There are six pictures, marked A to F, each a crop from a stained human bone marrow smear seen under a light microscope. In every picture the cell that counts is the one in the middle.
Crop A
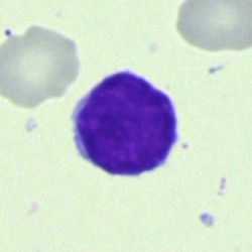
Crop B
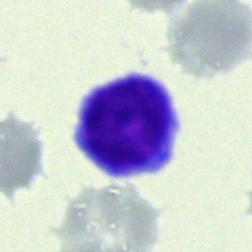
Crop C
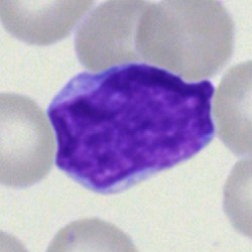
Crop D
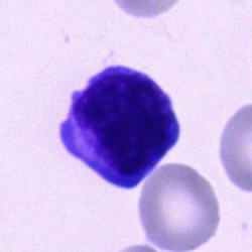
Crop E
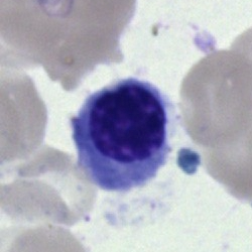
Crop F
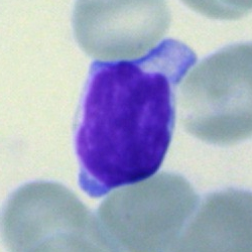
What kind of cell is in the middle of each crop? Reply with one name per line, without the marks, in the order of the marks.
lymphocyte
lymphocyte
blast
blast
erythroblast
lymphocyte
